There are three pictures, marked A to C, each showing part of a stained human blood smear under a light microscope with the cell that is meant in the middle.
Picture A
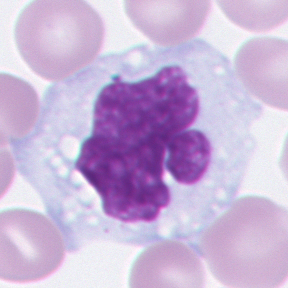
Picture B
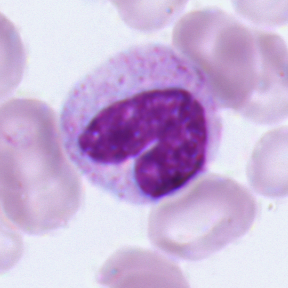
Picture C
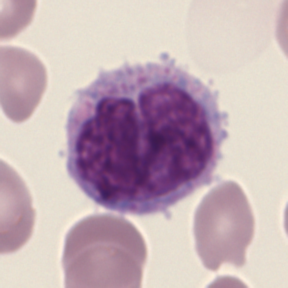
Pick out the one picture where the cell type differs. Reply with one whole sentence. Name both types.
Unlike the rest, which show monocytes, picture B shows a band neutrophil.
